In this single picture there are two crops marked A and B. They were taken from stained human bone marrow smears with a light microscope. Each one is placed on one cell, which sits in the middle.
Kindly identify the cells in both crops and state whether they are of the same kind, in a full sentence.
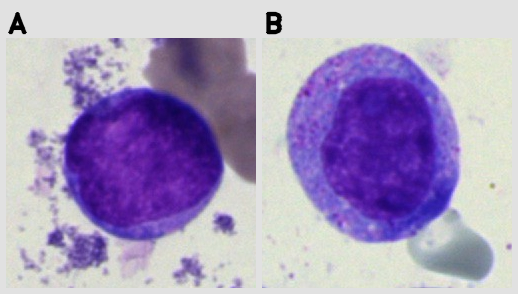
No, crop A contains a blast, and crop B contains a promyelocyte.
